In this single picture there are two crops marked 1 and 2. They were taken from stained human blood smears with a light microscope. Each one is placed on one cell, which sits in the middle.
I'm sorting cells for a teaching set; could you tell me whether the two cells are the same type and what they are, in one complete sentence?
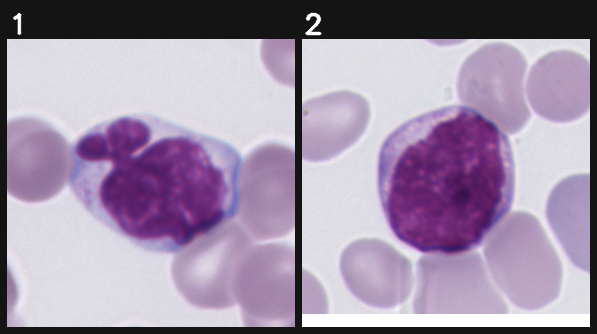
Yes, both crops have large granular lymphocytes at the centre.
